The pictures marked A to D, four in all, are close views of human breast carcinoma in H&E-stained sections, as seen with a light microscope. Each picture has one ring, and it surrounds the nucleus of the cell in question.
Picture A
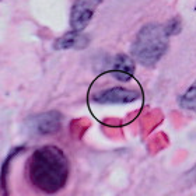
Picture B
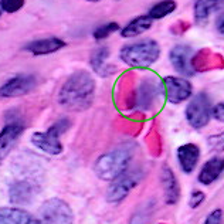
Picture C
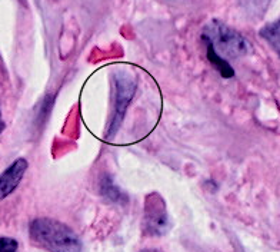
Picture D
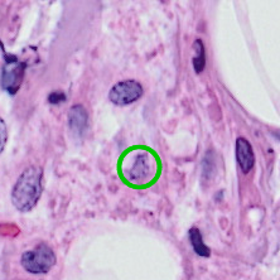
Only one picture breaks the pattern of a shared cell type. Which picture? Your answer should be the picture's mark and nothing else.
D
